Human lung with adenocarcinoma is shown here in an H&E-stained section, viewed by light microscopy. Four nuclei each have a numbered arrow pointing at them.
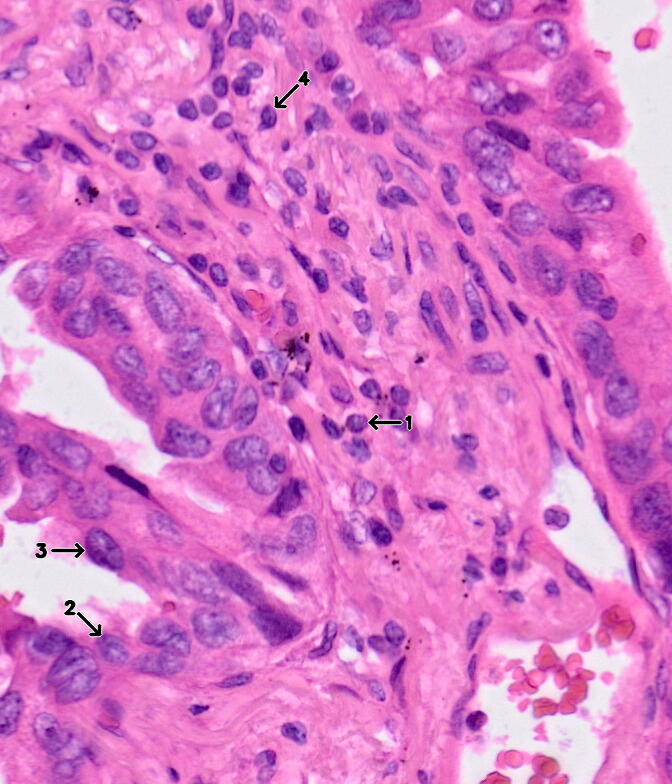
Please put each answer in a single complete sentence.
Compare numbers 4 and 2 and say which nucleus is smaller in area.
Nucleus 4 covers less area, with nucleus 2 about 2 times as large.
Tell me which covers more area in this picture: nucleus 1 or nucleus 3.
Nucleus 3 covers more area, about 4 times as much as nucleus 1.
